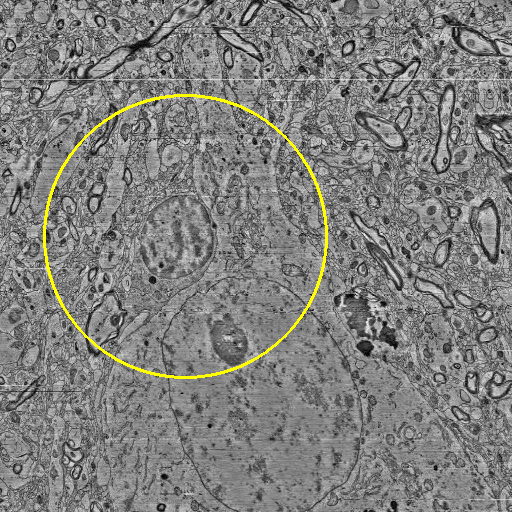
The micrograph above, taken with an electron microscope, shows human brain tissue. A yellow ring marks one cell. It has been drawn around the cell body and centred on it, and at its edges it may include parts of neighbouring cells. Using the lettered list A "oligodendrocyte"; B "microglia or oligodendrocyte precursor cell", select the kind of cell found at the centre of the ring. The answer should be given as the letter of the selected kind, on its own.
A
